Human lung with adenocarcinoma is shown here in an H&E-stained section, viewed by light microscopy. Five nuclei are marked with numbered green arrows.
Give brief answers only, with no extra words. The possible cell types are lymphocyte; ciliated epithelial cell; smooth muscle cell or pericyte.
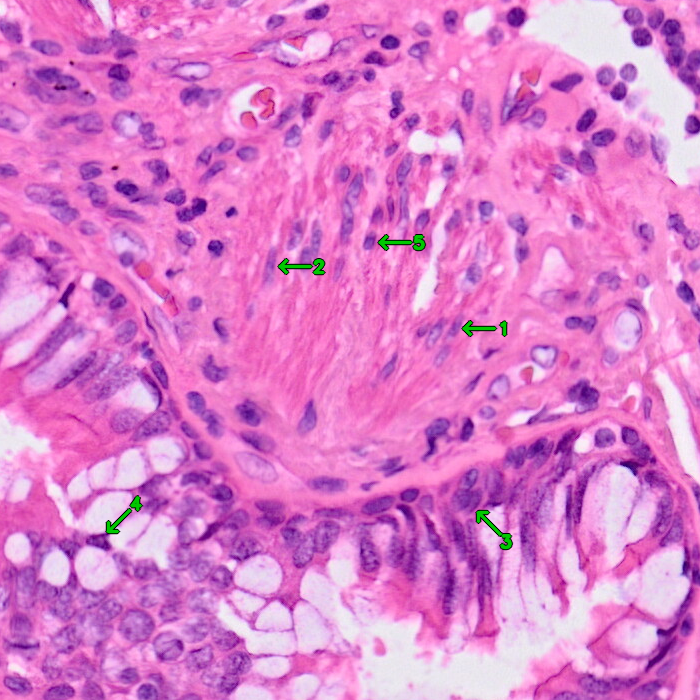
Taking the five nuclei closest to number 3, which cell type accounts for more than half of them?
ciliated epithelial cell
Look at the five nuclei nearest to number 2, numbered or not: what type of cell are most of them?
smooth muscle cell or pericyte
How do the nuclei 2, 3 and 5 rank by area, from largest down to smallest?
3, 2, 5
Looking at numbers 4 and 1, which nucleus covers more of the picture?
4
